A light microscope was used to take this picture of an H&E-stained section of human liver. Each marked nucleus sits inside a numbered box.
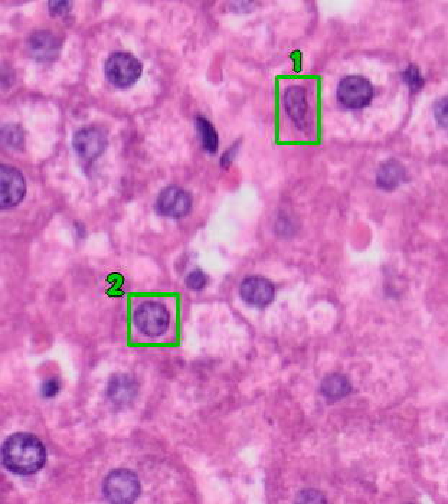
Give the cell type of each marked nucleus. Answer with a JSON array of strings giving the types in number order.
["Kupffer cell", "hepatocyte"]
